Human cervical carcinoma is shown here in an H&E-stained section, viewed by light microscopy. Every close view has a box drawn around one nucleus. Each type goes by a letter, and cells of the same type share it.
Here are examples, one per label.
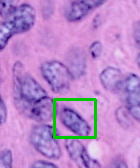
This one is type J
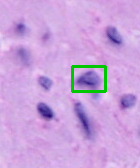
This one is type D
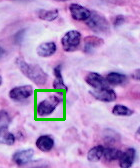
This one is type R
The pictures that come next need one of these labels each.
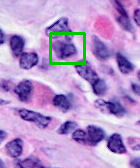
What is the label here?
type R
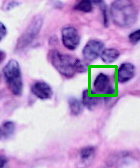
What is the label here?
type R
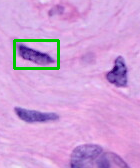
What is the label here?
type D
